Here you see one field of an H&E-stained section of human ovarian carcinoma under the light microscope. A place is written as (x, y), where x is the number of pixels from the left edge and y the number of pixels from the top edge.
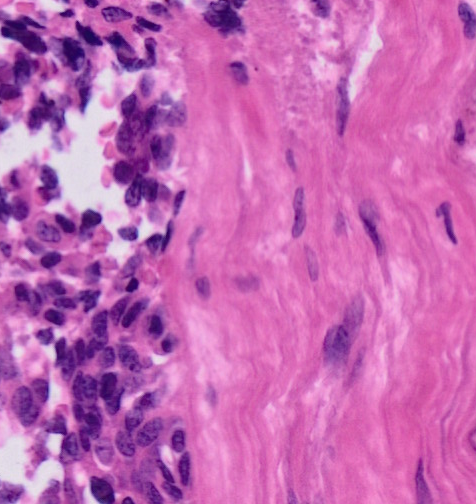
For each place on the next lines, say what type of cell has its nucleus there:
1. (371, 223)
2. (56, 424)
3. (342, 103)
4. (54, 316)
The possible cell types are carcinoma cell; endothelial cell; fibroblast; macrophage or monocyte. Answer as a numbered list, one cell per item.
1. fibroblast
2. carcinoma cell
3. fibroblast
4. carcinoma cell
